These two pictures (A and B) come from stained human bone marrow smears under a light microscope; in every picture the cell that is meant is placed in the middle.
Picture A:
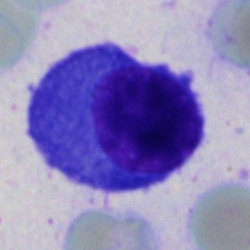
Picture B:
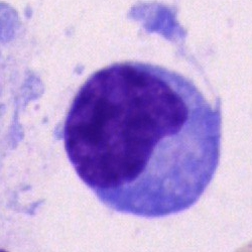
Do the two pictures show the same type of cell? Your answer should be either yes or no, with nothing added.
yes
